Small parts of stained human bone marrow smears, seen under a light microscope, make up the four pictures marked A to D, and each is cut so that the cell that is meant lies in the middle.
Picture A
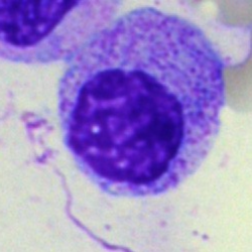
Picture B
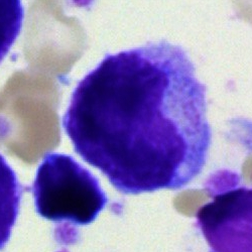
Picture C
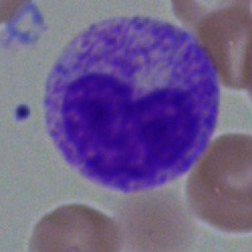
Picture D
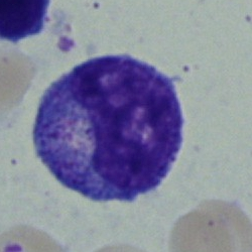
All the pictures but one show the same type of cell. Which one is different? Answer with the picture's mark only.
C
